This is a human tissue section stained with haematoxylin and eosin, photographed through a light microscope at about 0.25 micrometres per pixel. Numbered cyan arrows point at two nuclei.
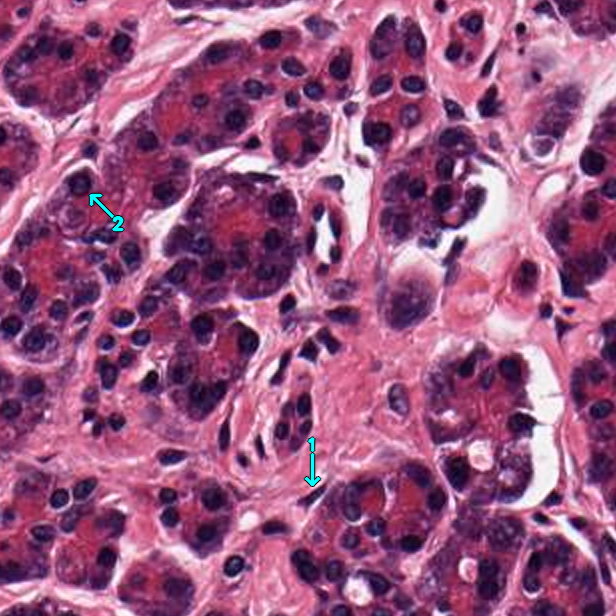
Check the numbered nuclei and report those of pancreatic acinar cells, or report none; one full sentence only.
Unlike the other numbered nuclei, nucleus 2 belongs to a pancreatic acinar cell.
